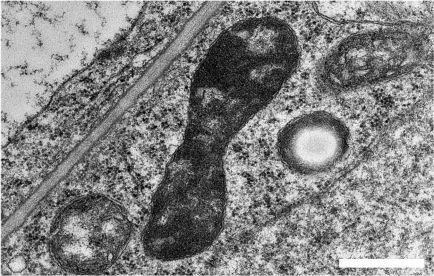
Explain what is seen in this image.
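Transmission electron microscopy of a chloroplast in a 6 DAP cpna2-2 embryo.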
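Two smaller oval mitochondria with internal cristae sit at the lower left and upper right. The cytoplasm is granular, a cell wall crosses the upper left diagonally, and beyond it lies a pale space with loose flocculent material.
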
